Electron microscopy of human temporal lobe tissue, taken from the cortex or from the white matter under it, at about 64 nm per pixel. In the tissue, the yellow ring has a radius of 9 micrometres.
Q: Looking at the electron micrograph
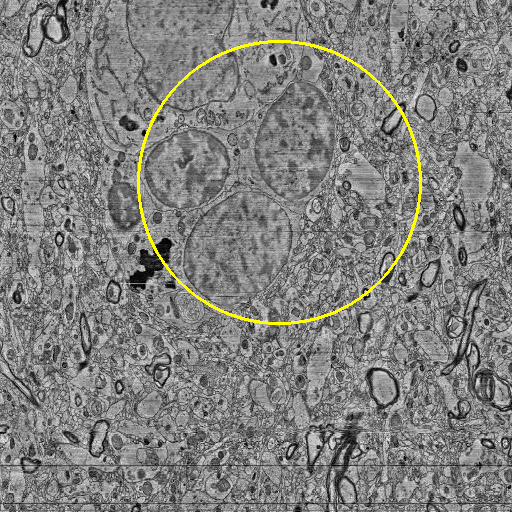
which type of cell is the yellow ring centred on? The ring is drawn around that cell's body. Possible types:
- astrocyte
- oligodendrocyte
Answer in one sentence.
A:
The yellow ring is centred on an oligodendrocyte.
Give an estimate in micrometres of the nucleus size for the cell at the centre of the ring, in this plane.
The nucleus of the ringed cell is clearly longer than it is wide in this plane, about 8 by 5 micrometres.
